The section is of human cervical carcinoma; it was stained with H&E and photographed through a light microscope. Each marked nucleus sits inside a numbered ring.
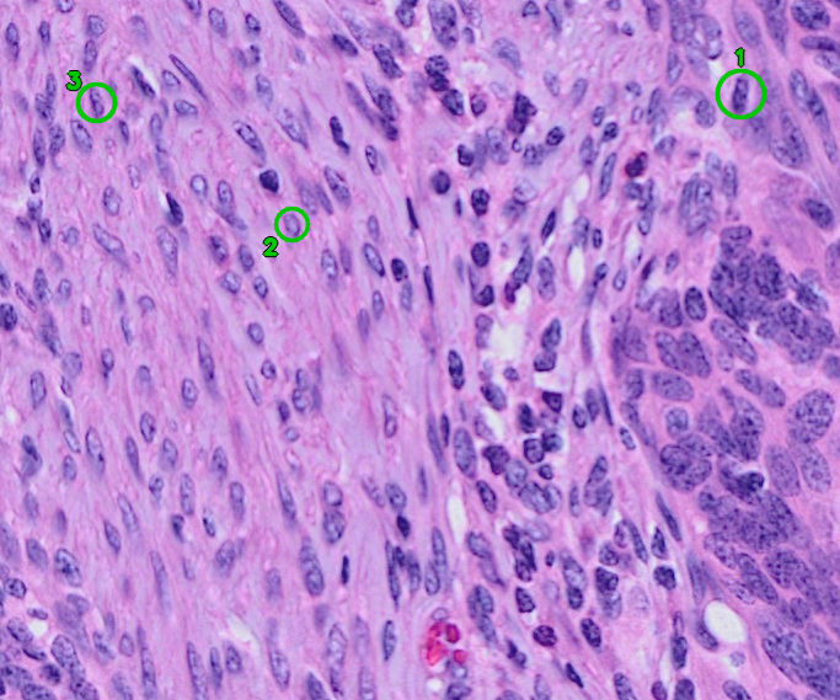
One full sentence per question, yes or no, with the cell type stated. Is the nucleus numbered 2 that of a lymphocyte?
No, the cell tagged 2 is a smooth muscle cell, and not a lymphocyte.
